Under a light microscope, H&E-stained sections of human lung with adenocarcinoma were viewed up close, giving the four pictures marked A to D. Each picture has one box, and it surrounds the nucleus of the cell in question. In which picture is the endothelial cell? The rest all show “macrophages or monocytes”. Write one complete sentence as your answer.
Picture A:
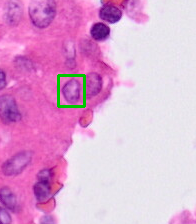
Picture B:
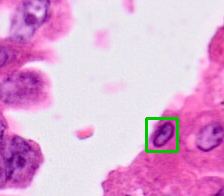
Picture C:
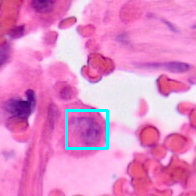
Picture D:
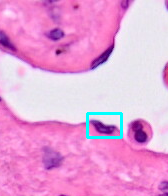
Picture D is the one that shows the endothelial cell.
